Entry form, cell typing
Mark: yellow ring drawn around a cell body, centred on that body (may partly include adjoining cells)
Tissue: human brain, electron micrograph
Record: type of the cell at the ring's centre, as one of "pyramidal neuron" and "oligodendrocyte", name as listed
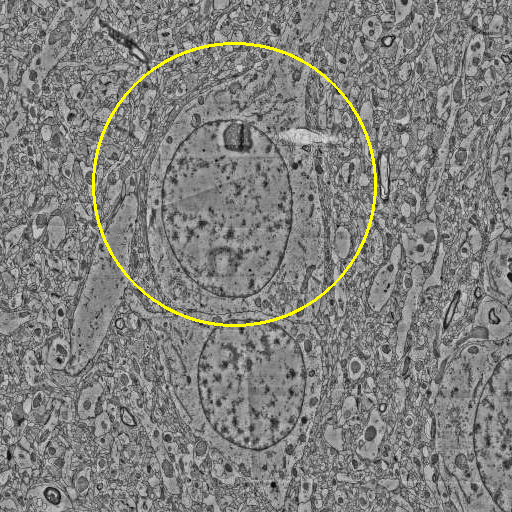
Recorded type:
pyramidal neuron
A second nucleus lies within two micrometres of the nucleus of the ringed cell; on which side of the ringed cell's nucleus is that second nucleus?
The second nucleus lies below it.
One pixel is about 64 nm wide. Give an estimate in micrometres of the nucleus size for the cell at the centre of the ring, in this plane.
The nucleus has a long axis of about 11 micrometres and a short axis of about 8 micrometres in this plane.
